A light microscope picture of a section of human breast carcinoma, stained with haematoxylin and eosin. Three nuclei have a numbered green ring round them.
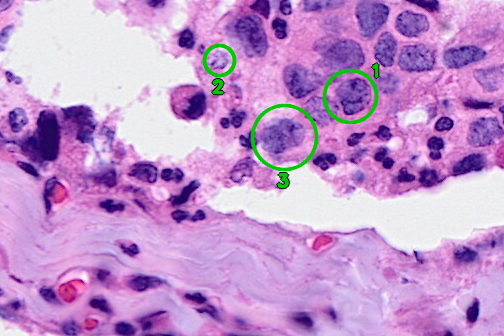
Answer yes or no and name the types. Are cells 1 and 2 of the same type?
No, cell 1 is interpreted as a carcinoma cell, and cell 2 is interpreted as a macrophage, monocyte or dendritic cell.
